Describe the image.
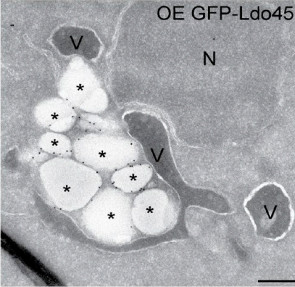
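Thin section of a cell showing a large cluster of lipid droplets lying between the nucleus and vacuoles. About ten round to oval, pale, electron-lucent droplets of unequal size are packed tightly together, their rims touching. Small black gold particles are scattered along the droplet surfaces. The nucleus forms a smooth, uniformly grey region at the top right, its envelope running close to the cluster.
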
